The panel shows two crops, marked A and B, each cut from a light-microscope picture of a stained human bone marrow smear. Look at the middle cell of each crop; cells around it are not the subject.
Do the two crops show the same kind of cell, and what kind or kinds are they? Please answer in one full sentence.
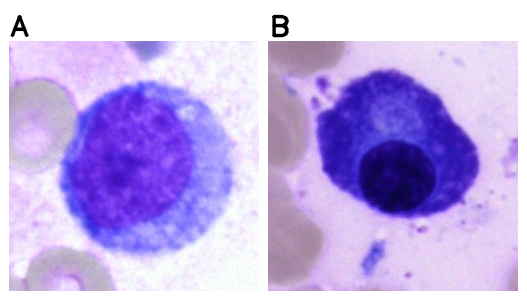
No, crop A contains a promyelocyte, whereas crop B contains a plasma cell.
